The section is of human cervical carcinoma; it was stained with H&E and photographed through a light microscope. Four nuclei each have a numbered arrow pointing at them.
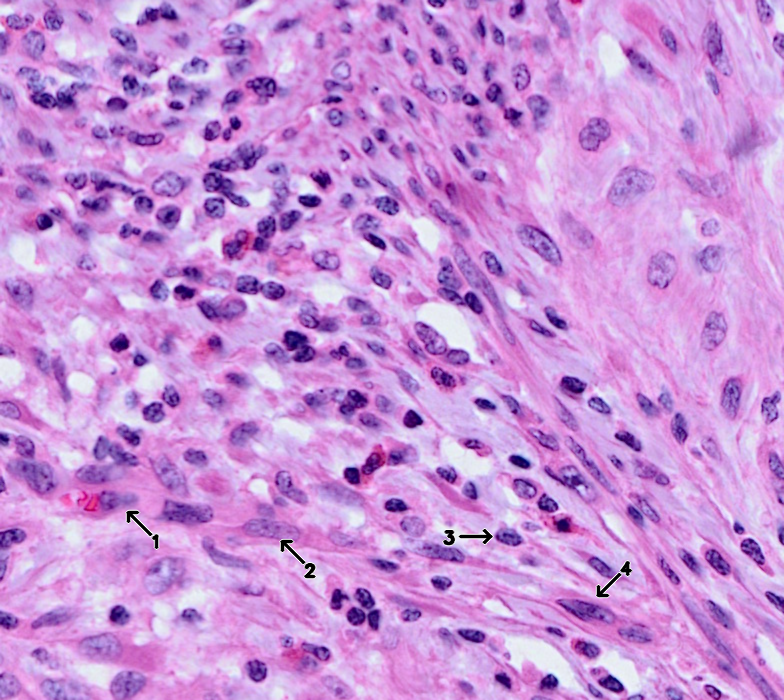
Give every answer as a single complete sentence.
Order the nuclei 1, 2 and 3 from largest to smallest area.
By area, largest first, they run 2, 1, 3.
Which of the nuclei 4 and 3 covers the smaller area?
With nucleus 4 about 2 times its size, nucleus 3 is the smaller of the two.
